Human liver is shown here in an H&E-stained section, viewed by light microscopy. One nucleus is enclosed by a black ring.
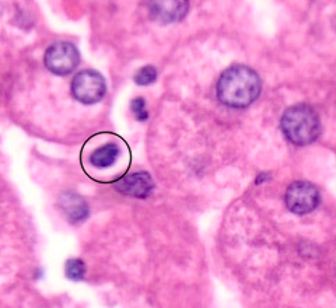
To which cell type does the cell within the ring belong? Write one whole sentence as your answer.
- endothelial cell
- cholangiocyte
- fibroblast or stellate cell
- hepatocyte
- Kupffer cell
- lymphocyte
The cell meant here is a lymphocyte.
